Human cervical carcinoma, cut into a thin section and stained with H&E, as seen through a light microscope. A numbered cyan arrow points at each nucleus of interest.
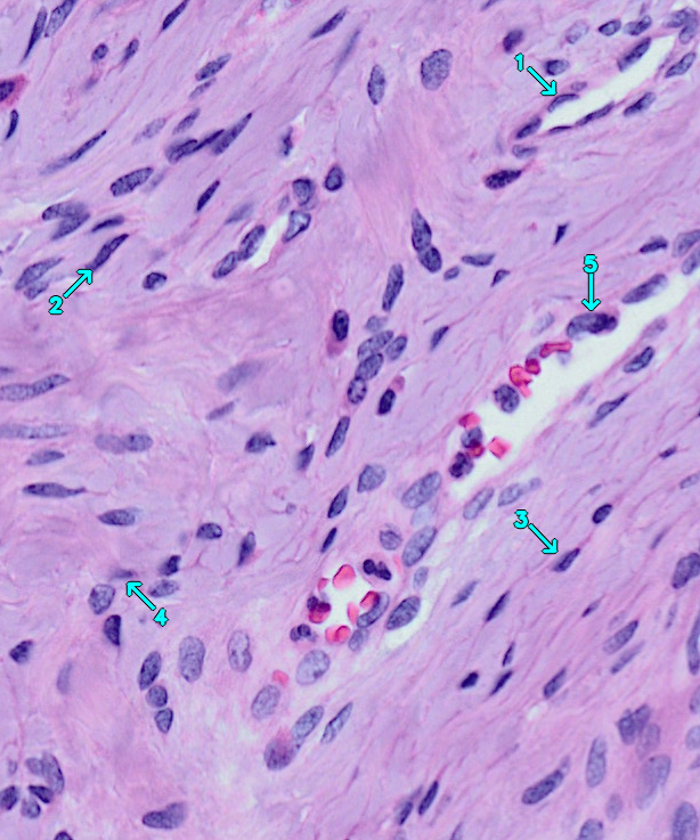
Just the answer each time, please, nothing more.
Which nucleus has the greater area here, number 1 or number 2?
2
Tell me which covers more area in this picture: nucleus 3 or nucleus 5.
5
